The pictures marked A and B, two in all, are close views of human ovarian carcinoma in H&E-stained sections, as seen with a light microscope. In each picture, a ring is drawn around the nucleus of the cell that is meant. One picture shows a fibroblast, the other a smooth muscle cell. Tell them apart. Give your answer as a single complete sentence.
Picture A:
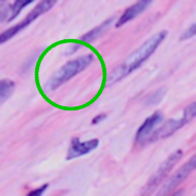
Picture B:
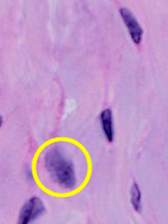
In picture A the cell is a smooth muscle cell; in picture B, a fibroblast.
